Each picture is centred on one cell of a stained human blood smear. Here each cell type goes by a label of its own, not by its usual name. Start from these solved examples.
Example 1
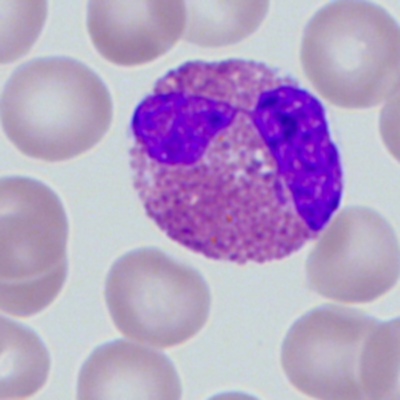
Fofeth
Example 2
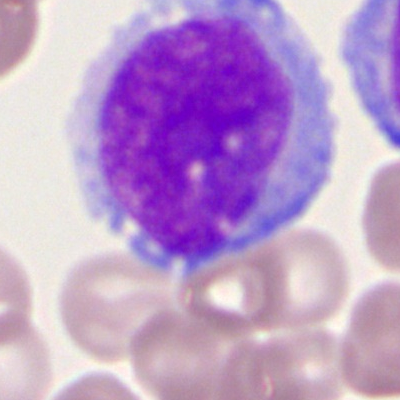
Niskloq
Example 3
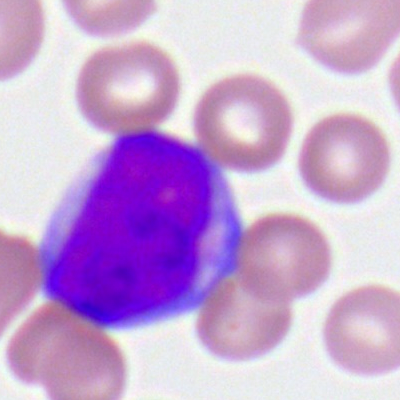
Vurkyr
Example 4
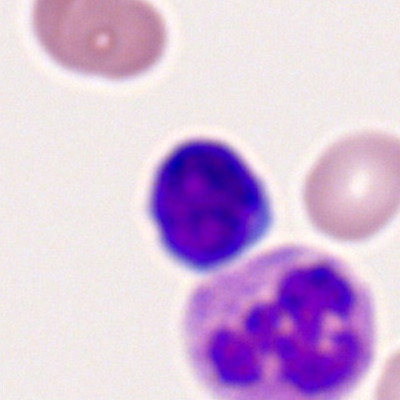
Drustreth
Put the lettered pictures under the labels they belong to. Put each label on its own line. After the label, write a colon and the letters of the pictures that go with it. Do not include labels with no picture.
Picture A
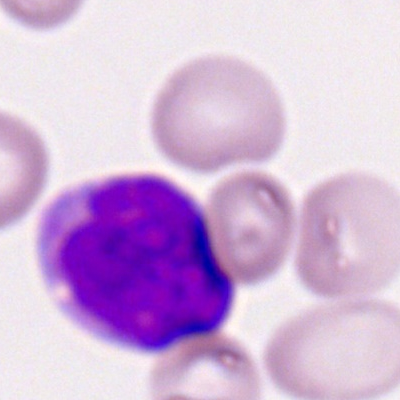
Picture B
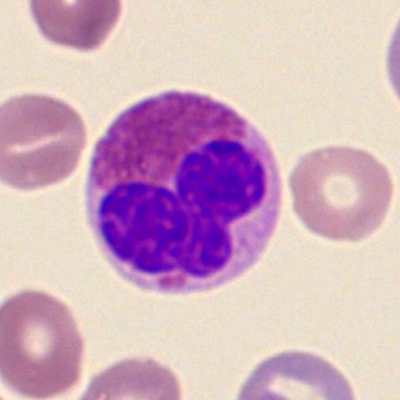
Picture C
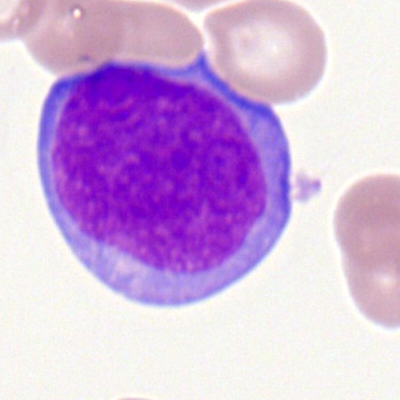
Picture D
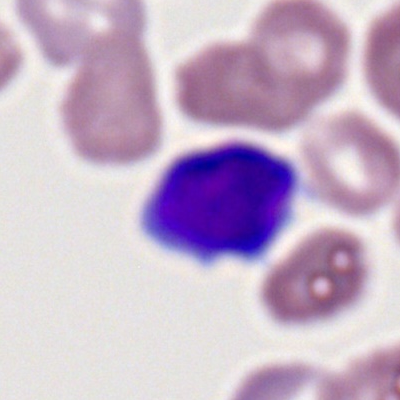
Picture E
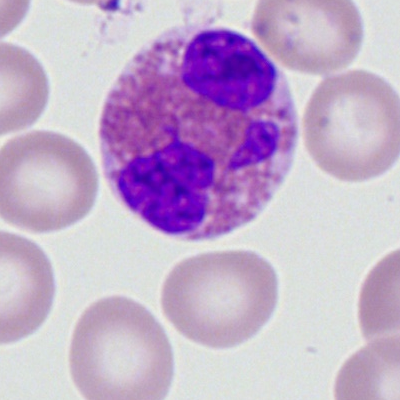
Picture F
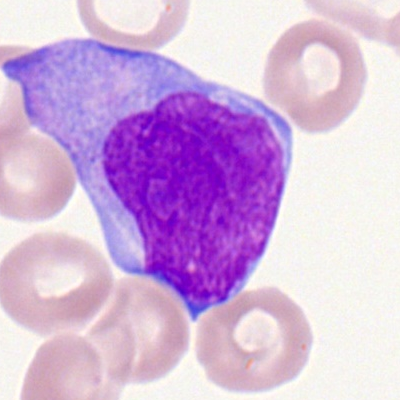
Fofeth: B, E
Vurkyr: A, C, F
Drustreth: D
